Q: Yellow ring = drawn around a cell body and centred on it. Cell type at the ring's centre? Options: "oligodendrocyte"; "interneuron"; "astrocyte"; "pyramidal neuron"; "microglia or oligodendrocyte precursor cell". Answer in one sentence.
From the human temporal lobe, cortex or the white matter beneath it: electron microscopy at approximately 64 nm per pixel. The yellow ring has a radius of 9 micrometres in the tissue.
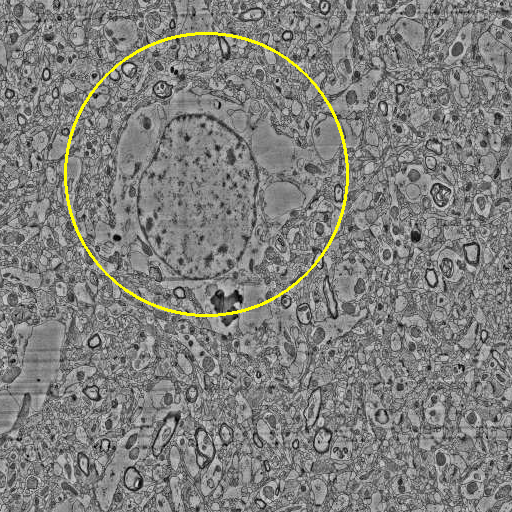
Centred in the ring is an astrocyte.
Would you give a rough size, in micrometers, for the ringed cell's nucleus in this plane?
The nucleus is approximately 11 micrometers long by 8 micrometers wide in this plane.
